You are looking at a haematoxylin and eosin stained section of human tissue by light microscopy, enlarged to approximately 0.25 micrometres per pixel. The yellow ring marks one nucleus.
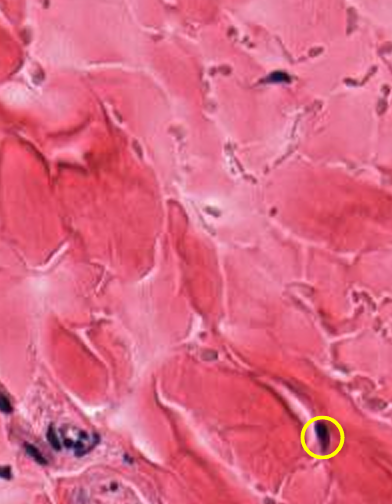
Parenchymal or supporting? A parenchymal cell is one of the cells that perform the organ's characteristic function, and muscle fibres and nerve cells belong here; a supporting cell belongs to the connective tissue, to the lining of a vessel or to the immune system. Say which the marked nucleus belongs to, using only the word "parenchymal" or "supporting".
supporting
